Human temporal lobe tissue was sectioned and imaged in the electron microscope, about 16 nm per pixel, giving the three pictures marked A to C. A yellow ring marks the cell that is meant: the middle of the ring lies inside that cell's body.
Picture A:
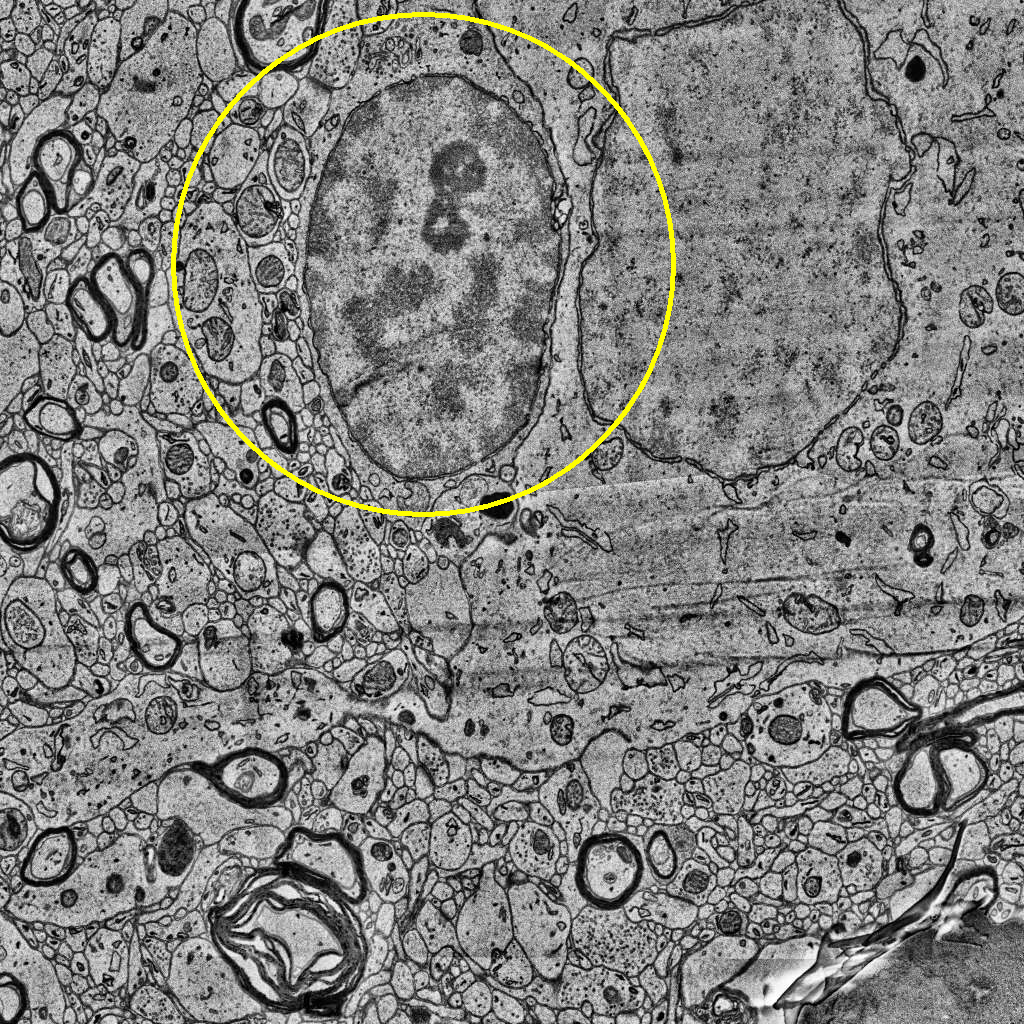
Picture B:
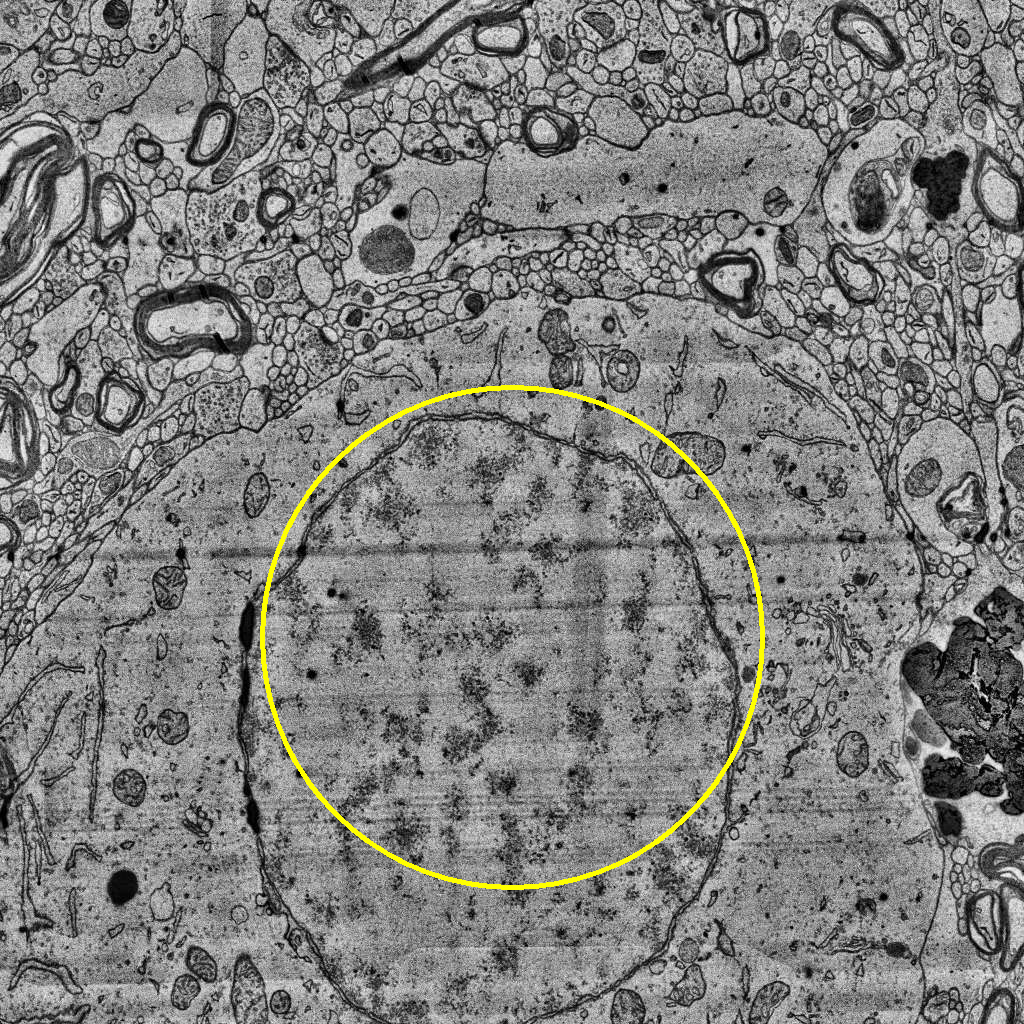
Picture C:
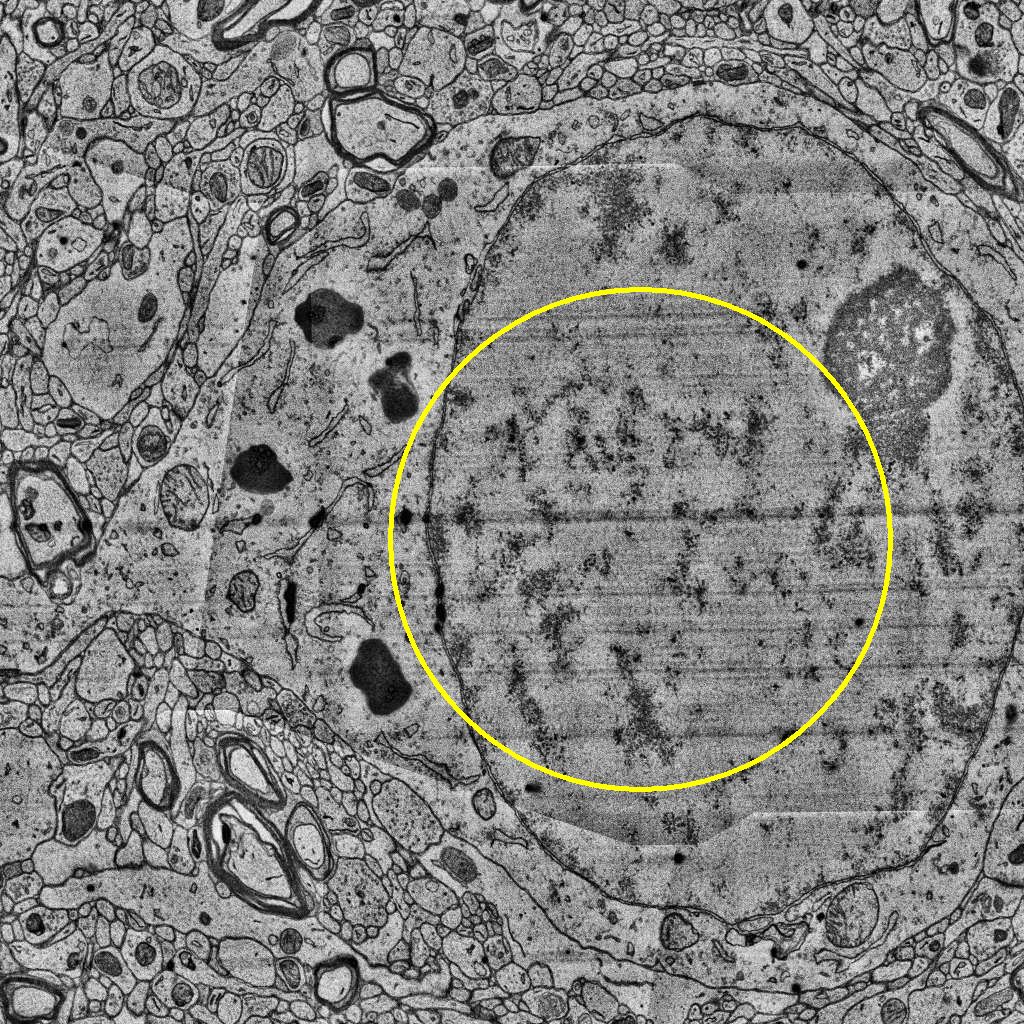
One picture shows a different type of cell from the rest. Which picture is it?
Unlike the rest, which show pyramidal neurons, picture A shows an oligodendrocyte.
